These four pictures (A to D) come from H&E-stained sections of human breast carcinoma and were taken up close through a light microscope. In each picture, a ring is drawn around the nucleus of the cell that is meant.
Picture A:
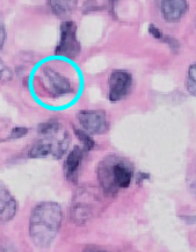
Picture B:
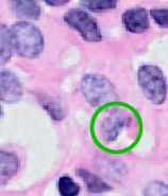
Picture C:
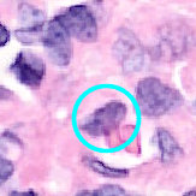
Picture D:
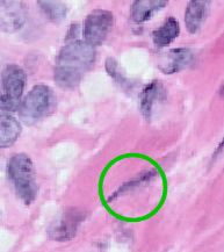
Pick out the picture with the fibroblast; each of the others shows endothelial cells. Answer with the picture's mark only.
D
